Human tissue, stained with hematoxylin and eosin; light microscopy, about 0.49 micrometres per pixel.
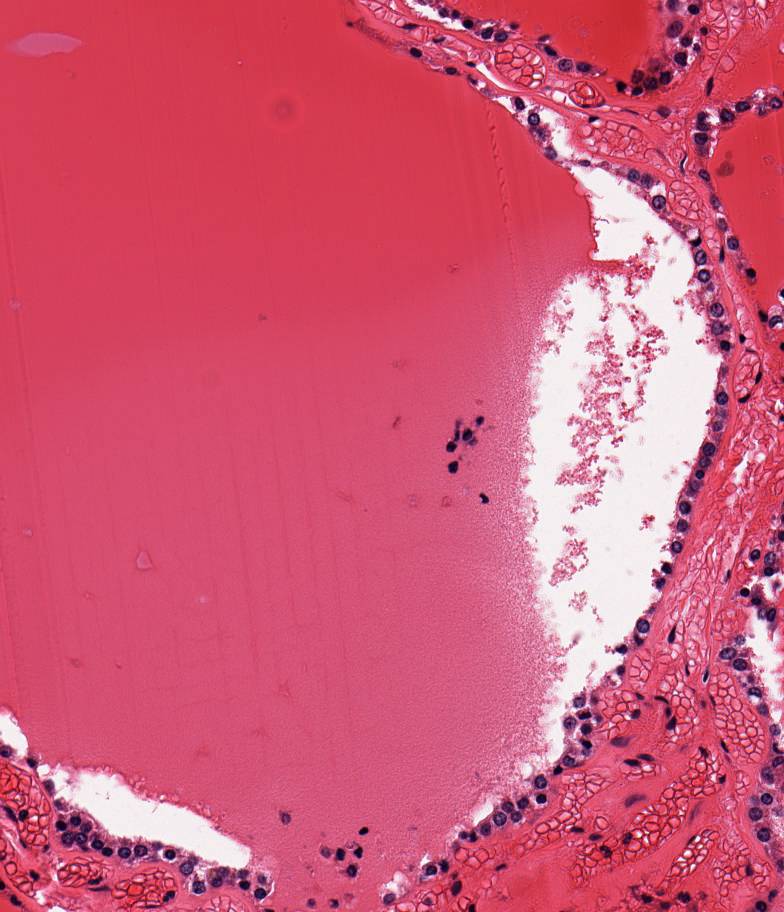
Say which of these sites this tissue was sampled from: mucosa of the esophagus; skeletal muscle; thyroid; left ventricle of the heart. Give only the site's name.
thyroid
